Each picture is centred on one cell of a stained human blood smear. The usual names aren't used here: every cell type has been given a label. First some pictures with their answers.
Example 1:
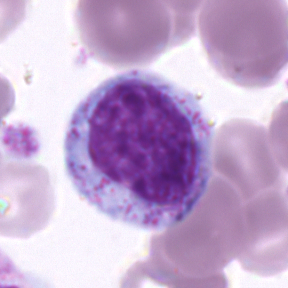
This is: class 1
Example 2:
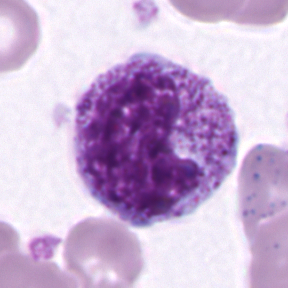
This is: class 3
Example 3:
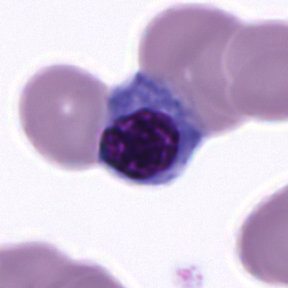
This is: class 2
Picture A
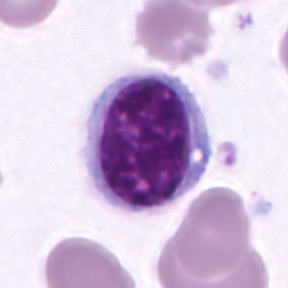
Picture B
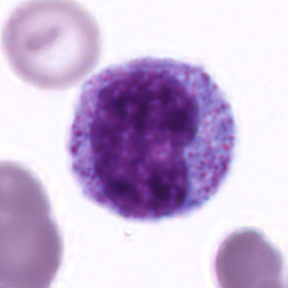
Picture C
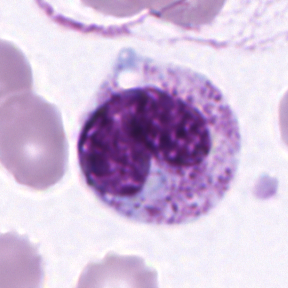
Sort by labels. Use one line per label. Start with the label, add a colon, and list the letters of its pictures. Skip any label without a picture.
class 1: B
class 3: C
class 2: A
